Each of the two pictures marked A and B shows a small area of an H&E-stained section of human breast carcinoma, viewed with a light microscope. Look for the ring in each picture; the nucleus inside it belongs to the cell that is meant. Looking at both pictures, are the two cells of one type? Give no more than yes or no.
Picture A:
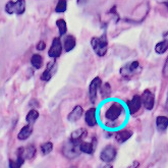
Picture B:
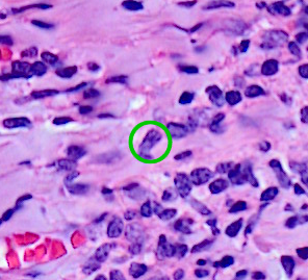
yes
